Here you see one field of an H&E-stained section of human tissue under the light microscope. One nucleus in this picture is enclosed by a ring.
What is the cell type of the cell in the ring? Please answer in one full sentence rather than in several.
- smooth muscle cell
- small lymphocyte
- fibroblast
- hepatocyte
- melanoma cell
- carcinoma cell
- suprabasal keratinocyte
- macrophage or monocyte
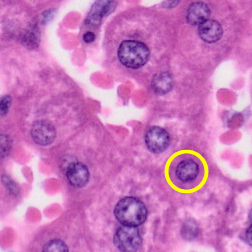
Within this tissue, the cell in the ring is a hepatocyte.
